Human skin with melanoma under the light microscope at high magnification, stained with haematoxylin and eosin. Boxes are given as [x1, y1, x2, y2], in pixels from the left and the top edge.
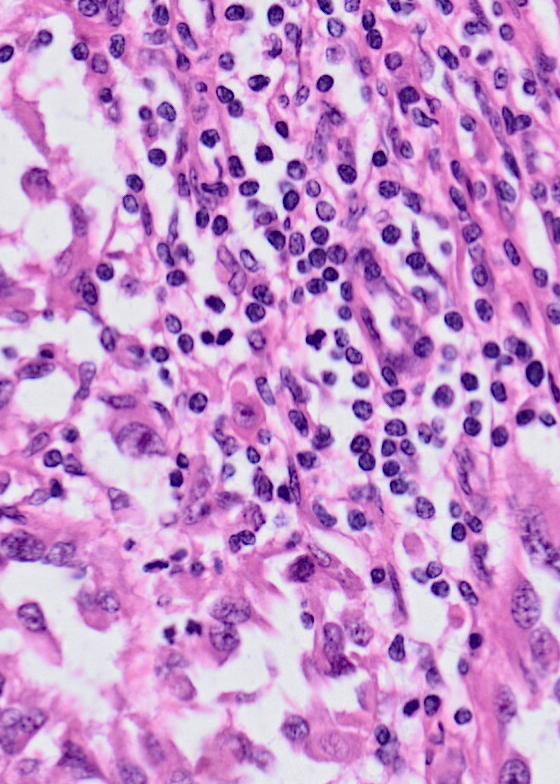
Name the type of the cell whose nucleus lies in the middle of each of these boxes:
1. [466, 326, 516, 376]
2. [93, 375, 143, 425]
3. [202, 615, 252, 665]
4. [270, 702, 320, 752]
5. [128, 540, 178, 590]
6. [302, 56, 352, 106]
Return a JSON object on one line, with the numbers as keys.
{"1": "lymphocyte", "2": "melanoma cell", "3": "melanoma cell", "4": "melanoma cell", "5": "lymphocyte", "6": "lymphocyte"}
